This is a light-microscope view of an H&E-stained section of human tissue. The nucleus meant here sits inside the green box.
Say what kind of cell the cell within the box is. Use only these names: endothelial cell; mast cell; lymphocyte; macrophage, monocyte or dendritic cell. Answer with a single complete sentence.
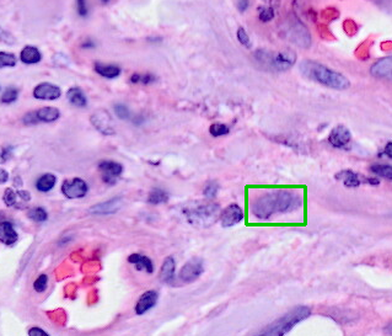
Considered by cell type, the cell within the box is a macrophage, monocyte or dendritic cell.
